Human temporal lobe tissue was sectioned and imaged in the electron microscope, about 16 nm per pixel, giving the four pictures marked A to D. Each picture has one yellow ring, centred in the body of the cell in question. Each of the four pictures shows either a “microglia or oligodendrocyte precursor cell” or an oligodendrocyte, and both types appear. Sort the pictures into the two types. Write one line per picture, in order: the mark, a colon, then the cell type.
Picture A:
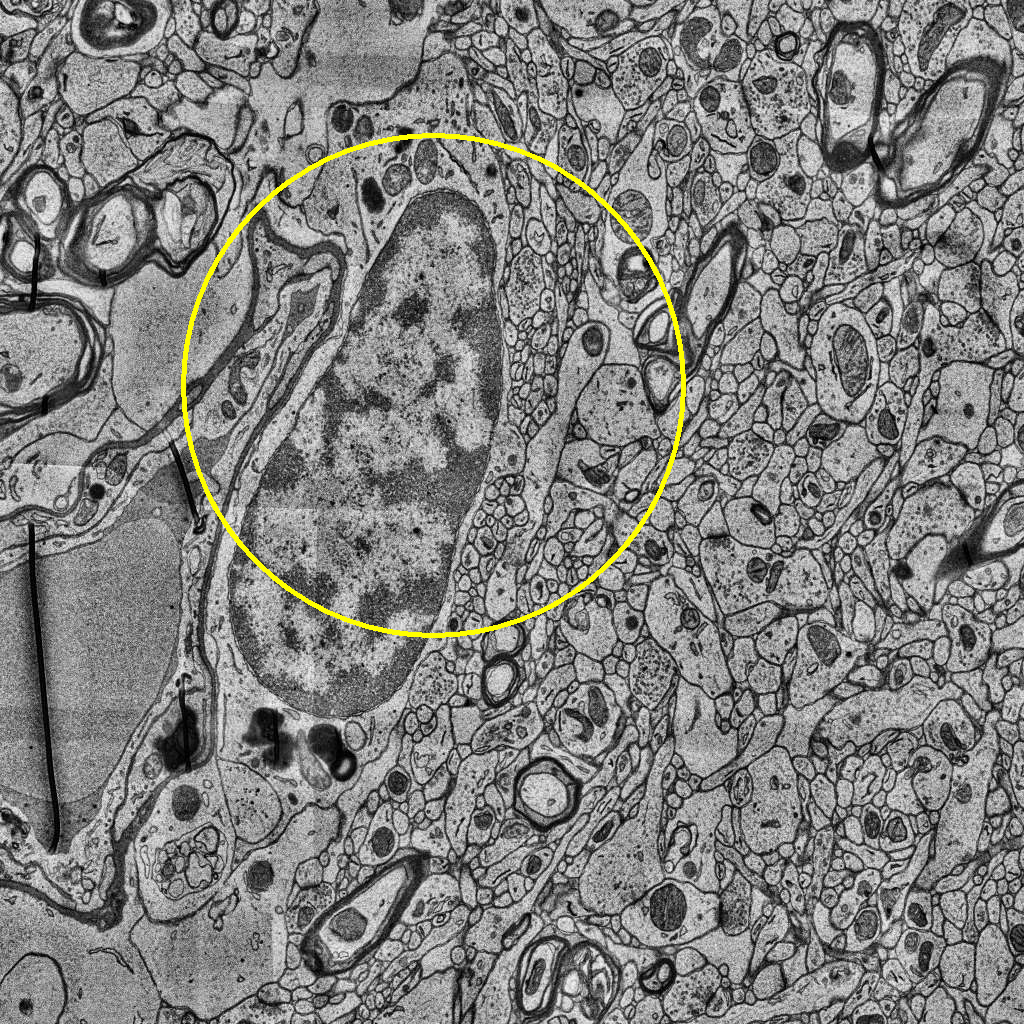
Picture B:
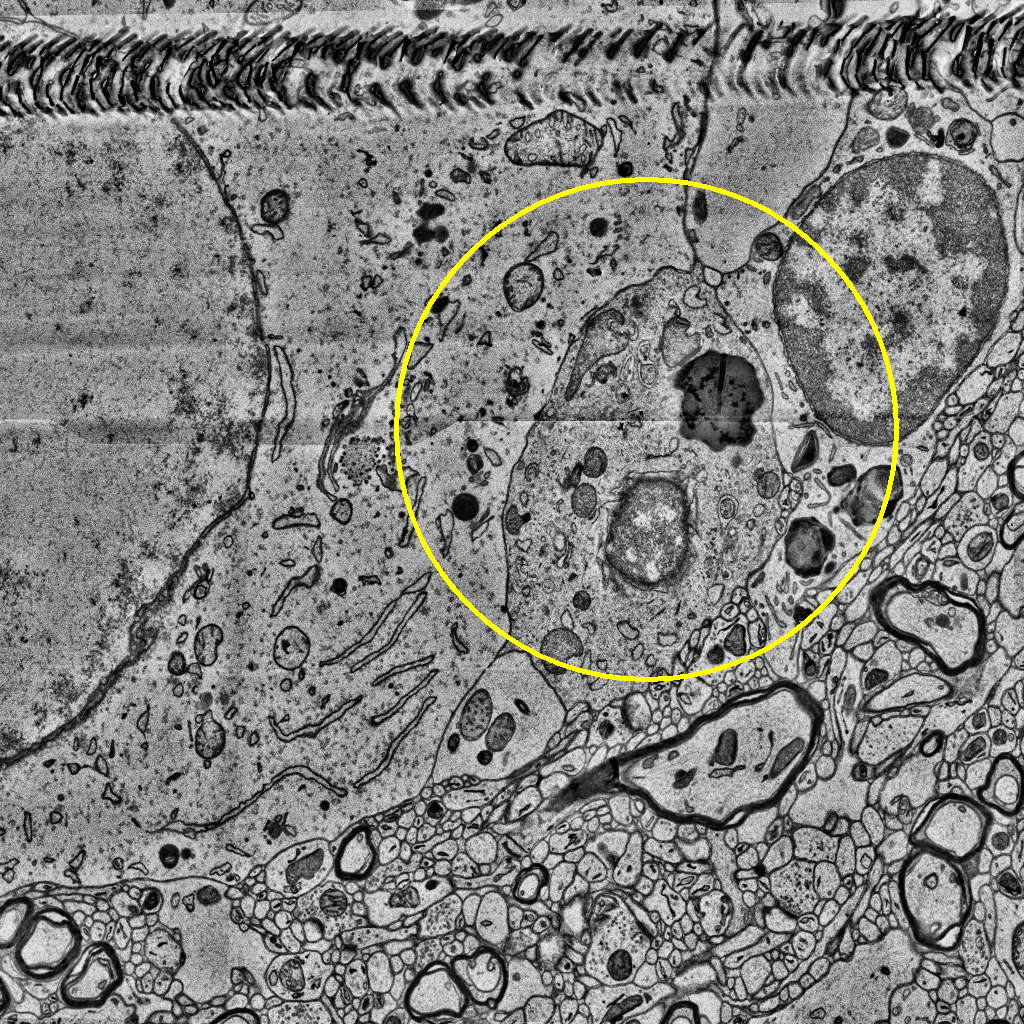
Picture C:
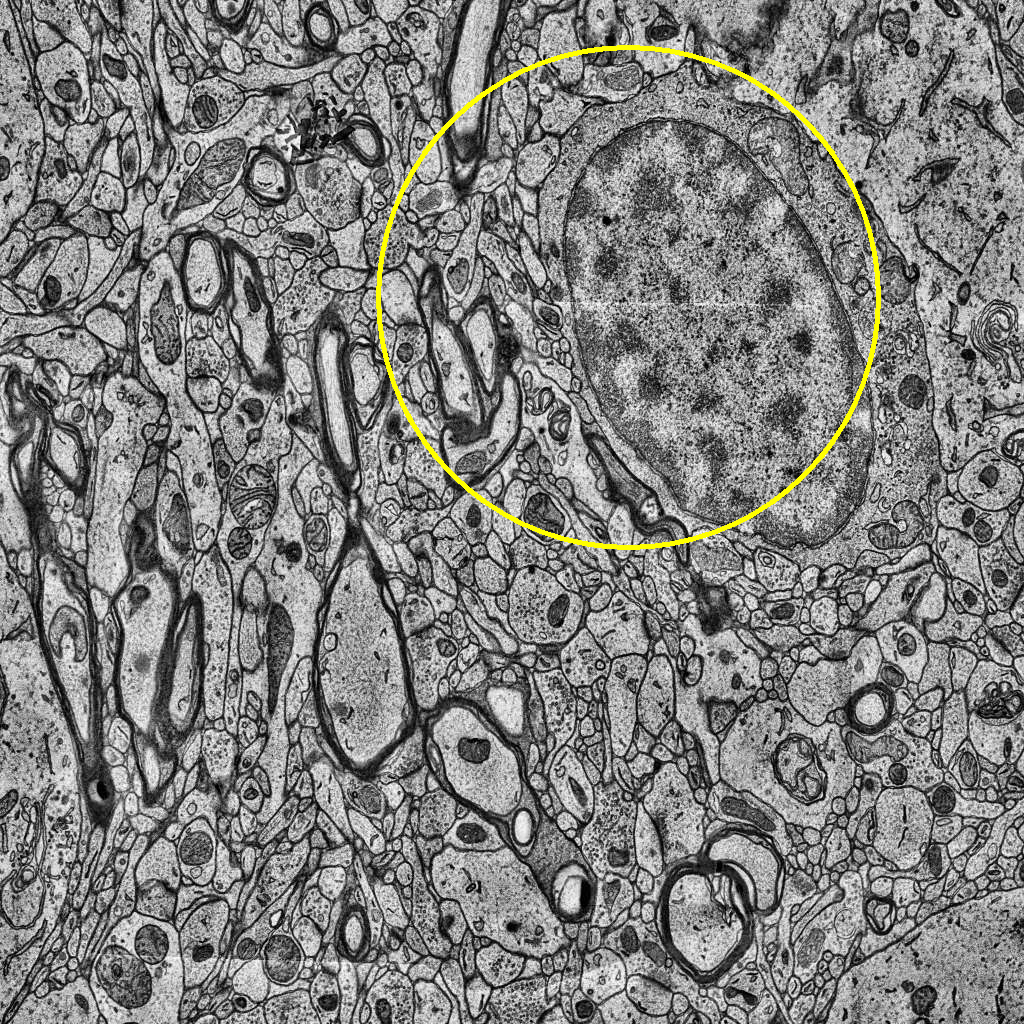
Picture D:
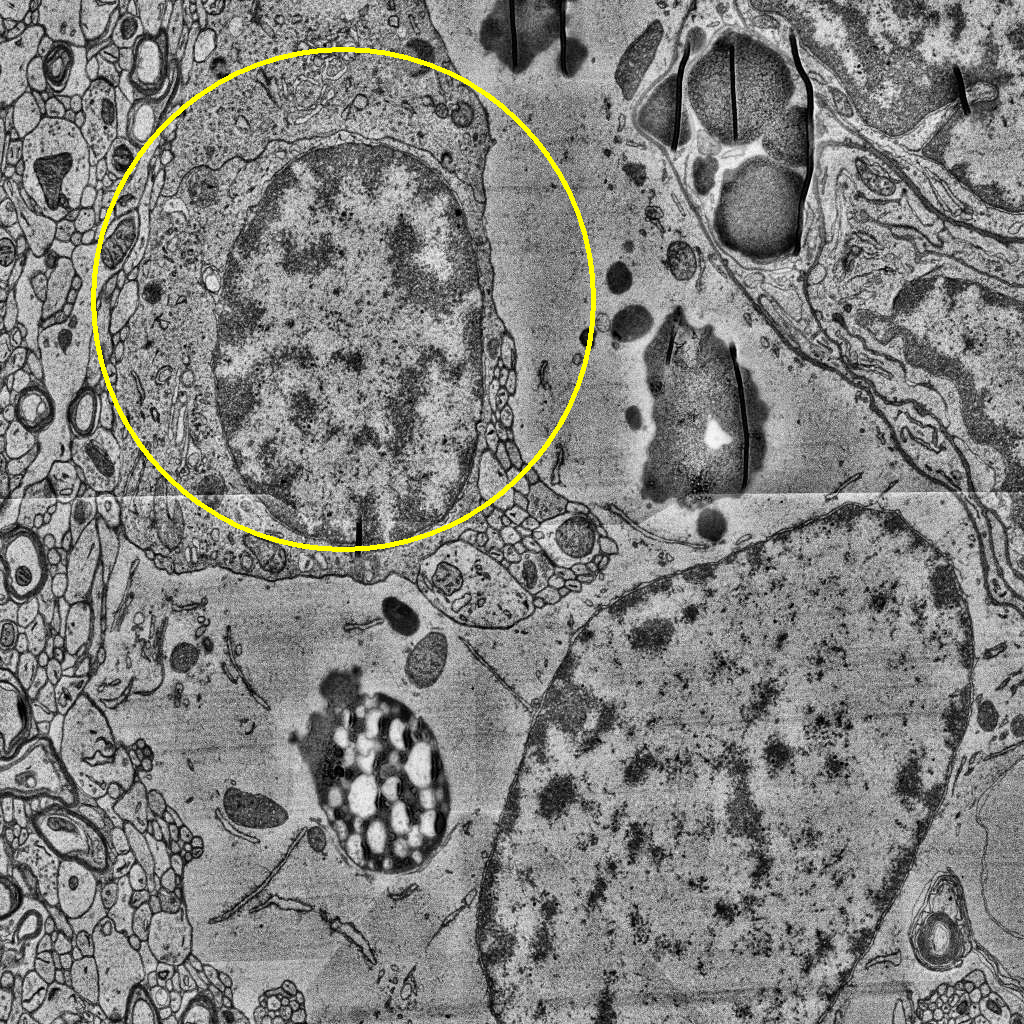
A: microglia or oligodendrocyte precursor cell
B: oligodendrocyte
C: oligodendrocyte
D: oligodendrocyte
